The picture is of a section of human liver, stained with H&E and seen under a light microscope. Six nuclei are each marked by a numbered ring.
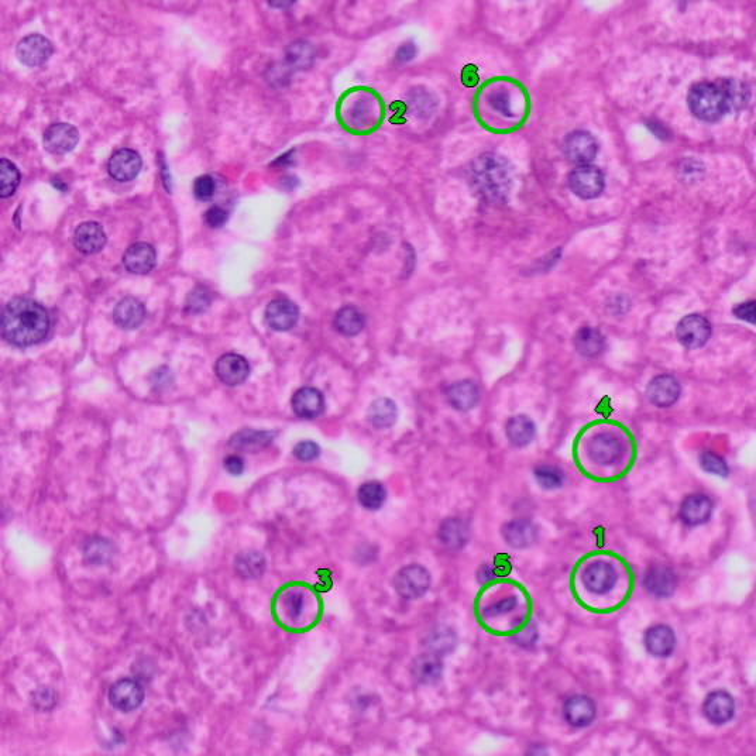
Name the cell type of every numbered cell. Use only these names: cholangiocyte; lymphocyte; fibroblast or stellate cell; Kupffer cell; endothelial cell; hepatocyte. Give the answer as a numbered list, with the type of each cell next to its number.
1. hepatocyte
2. Kupffer cell
3. fibroblast or stellate cell
4. hepatocyte
5. endothelial cell
6. endothelial cell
